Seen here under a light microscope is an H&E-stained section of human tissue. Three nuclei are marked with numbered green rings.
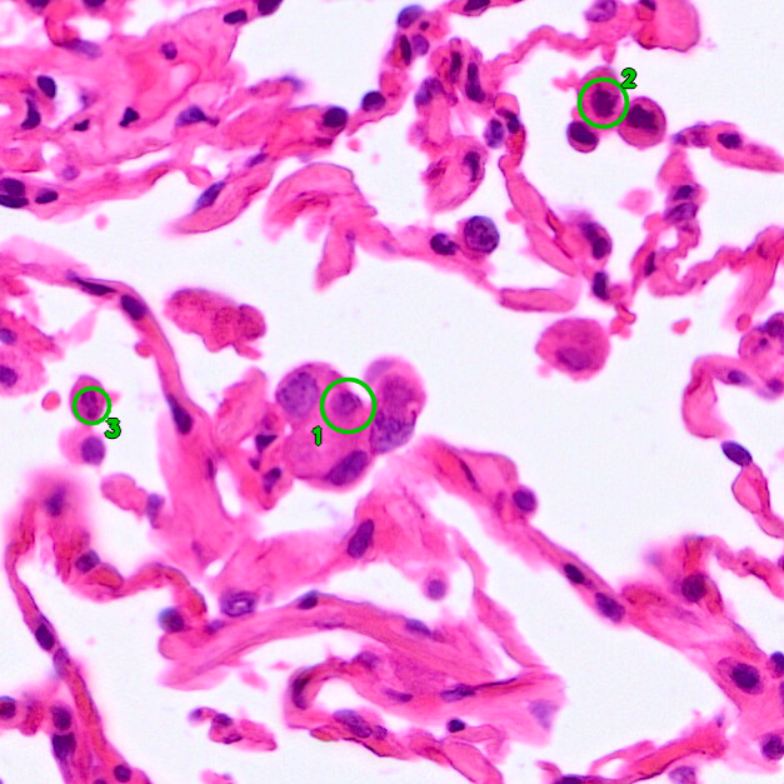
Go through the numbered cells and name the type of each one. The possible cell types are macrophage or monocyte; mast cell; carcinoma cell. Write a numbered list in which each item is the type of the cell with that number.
1. carcinoma cell
2. macrophage or monocyte
3. macrophage or monocyte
